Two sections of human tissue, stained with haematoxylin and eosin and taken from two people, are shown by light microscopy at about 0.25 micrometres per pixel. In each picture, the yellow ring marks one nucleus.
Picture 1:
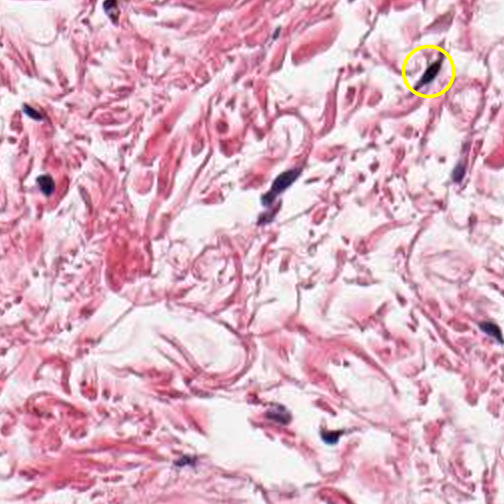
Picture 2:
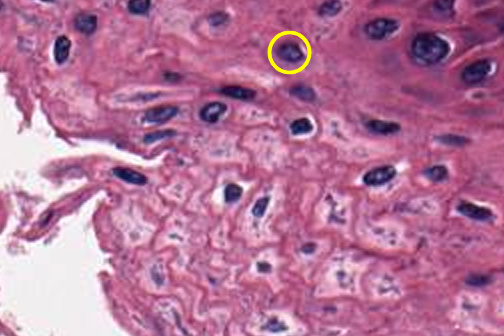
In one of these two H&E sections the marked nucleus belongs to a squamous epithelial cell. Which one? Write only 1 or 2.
2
